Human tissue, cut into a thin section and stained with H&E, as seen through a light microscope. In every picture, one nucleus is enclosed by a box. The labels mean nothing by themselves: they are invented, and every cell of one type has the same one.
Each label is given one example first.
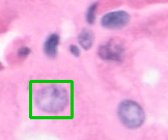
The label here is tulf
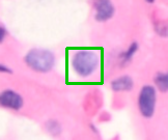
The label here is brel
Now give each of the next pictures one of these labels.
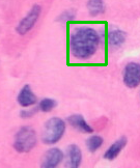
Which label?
brel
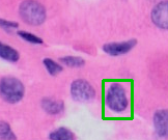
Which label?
brel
